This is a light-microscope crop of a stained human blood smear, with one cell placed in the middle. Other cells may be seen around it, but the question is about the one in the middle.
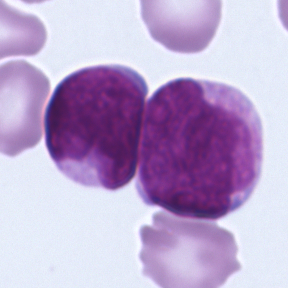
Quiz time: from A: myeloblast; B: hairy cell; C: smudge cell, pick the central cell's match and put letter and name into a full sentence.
Option A holds up: the cell in the middle is a myeloblast.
